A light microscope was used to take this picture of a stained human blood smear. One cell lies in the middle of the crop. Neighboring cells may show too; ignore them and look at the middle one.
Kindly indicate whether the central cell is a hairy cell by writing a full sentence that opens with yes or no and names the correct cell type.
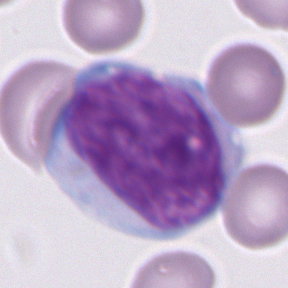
No, the cell in the middle is not a hairy cell but a myeloblast.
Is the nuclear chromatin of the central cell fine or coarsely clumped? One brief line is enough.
The key point is fine chromatin with no coarse clumps.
